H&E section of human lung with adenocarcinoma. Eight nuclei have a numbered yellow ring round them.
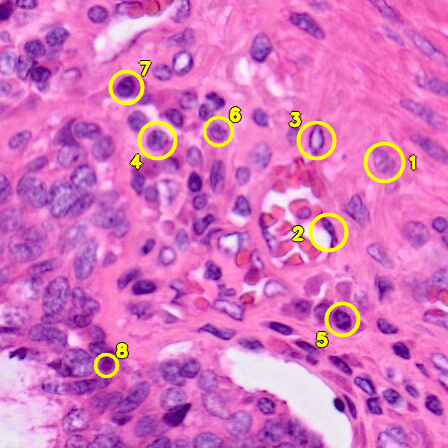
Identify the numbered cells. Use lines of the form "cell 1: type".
cell 1: smooth muscle cell or pericyte
cell 2: endothelial cell
cell 3: endothelial cell
cell 4: lymphocyte
cell 5: plasma cell
cell 6: plasma cell
cell 7: plasma cell
cell 8: ciliated epithelial cell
